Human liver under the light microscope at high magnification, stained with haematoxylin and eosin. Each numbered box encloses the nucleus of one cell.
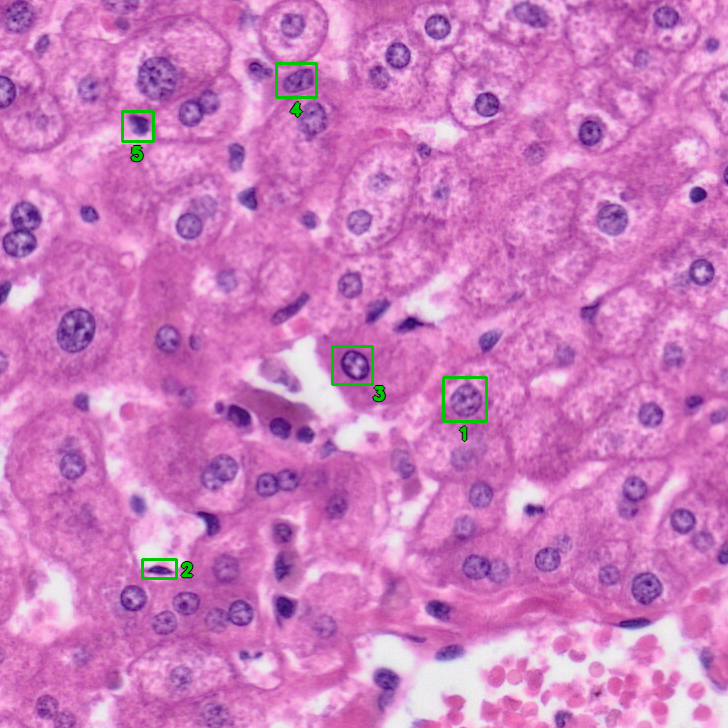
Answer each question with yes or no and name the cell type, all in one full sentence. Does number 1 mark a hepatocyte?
Yes, cell number 1 is classified as a hepatocyte.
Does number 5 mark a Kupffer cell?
No, the cell with the number 5 is an endothelial cell, not a Kupffer cell.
